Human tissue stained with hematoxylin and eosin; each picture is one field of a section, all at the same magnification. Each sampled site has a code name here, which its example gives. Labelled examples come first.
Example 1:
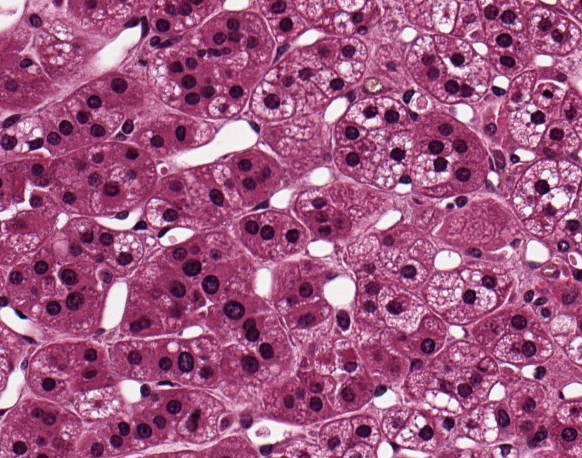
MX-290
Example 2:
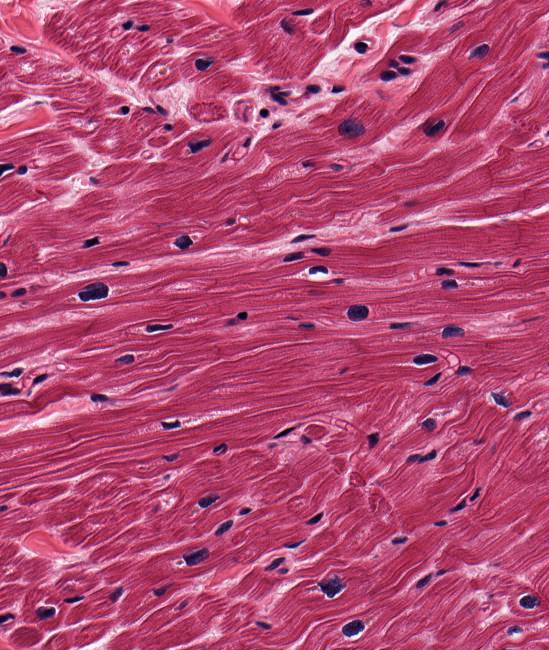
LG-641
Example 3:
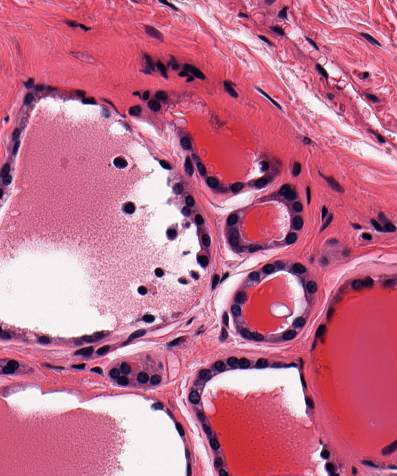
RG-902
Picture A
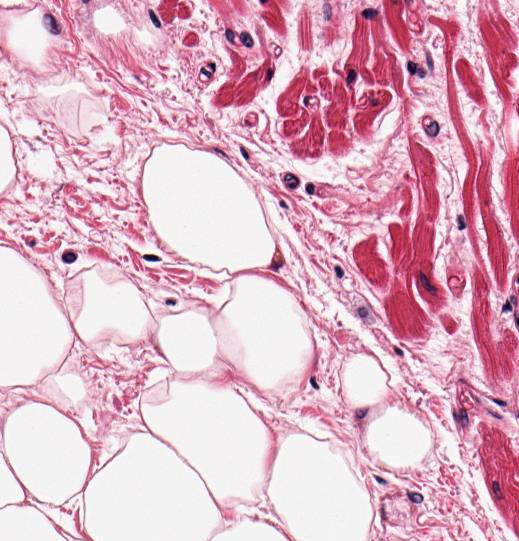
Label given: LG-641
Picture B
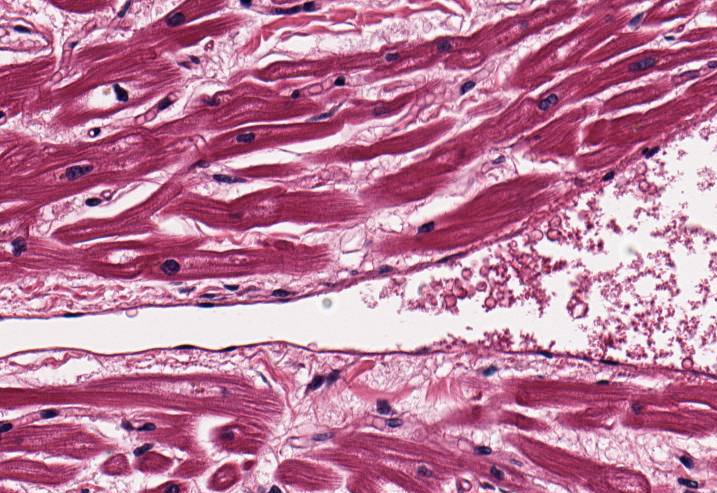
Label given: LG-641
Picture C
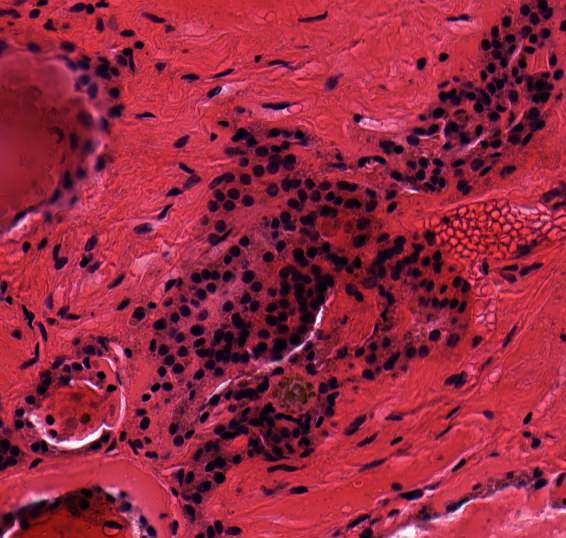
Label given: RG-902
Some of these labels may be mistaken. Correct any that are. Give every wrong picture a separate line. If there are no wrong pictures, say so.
No label is wrong.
